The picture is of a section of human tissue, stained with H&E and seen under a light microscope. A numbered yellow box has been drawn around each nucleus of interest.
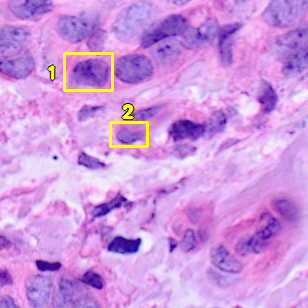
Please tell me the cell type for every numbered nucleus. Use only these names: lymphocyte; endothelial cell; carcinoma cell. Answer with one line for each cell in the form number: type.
1: carcinoma cell
2: endothelial cell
